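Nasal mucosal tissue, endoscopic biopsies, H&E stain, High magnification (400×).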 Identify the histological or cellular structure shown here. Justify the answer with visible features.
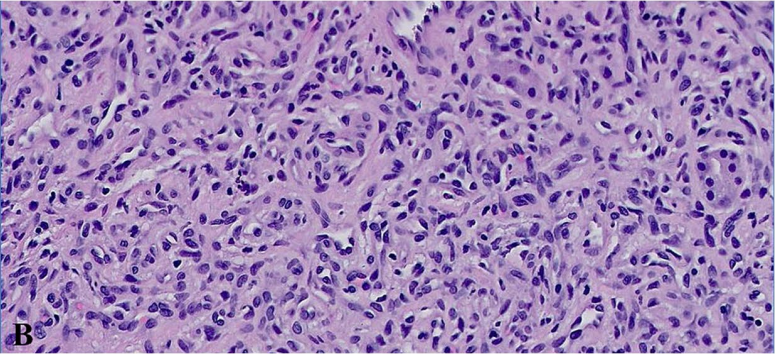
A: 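Collagenous stroma. Pale pink fibrous material lies between the cell groups. The fibrous bands separate the cells into nests.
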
